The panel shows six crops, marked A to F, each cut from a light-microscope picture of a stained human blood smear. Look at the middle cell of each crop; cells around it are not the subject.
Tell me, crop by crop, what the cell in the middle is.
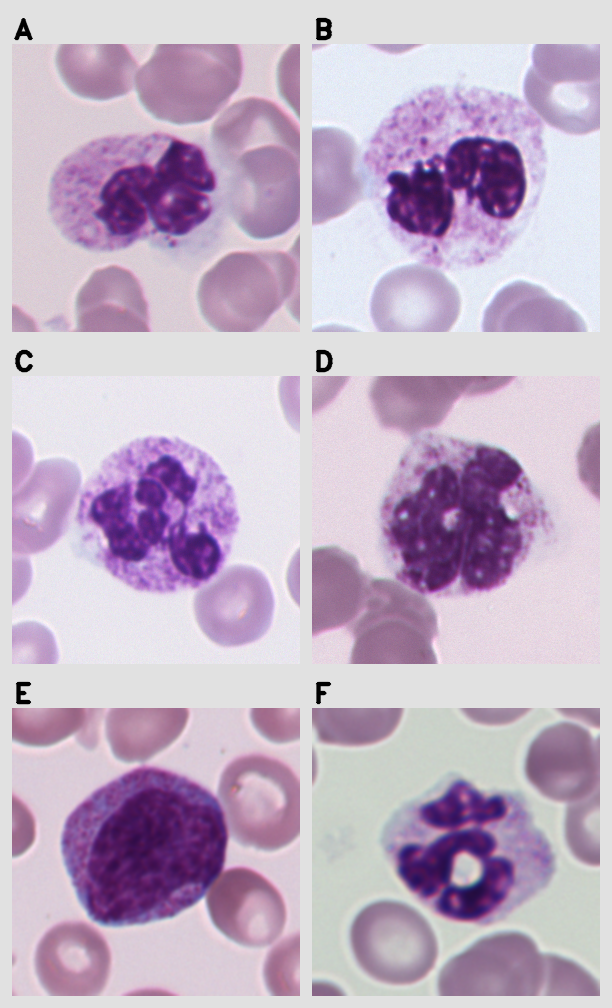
A: segmented neutrophil
B: segmented neutrophil
C: segmented neutrophil
D: segmented neutrophil
E: atypical promyelocyte
F: segmented neutrophil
